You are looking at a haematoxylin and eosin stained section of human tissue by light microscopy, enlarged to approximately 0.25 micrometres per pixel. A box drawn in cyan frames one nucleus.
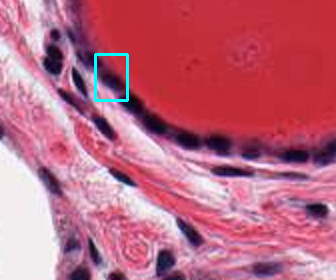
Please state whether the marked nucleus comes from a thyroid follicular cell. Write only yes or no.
yes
